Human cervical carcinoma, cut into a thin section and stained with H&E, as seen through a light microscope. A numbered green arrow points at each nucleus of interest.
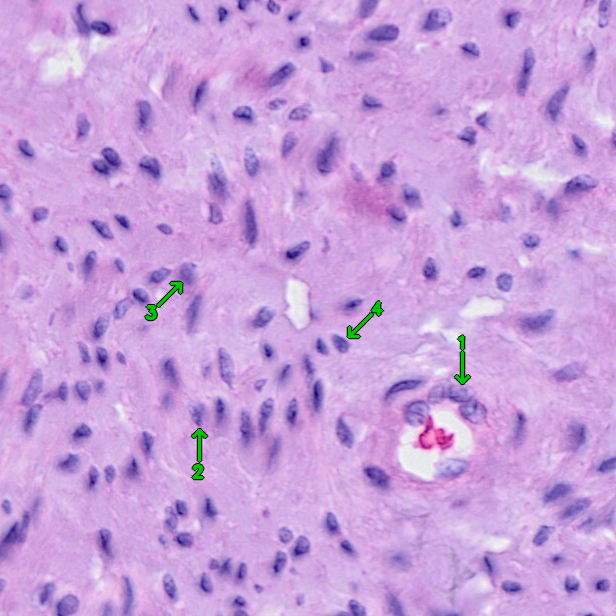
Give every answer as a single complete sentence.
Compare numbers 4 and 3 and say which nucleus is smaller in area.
The smaller nucleus is 4, and 3 covers roughly 1.5 times its area.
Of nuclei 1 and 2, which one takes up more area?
Nucleus 1 covers more area, about 1.5 times as much as nucleus 2.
